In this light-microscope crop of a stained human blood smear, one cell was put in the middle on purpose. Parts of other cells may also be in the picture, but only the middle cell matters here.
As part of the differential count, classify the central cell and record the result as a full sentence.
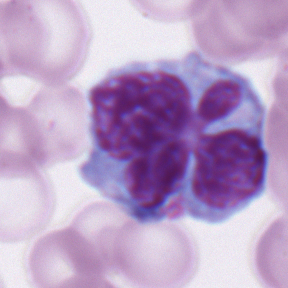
Answering briefly, the cell in the middle is a monocyte.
